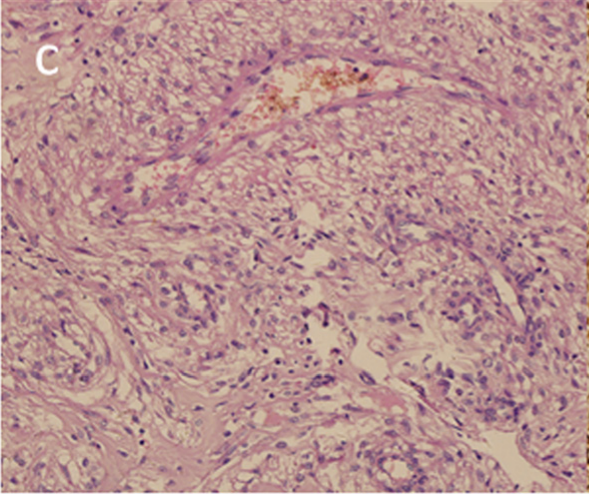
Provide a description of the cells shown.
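This is a tumor made of blood vessels and epithelioid cells stained with hematoxylin and eosin. A vessel filled with red blood cells crosses the upper part of the field, and other round vessel profiles with pink walls lie lower down. Between the vessels are sheets of plump cells with oval purple nuclei and pale, clear to wispy cytoplasm. Some of these cells are spindle-shaped and form loose whorls around the vessels.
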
